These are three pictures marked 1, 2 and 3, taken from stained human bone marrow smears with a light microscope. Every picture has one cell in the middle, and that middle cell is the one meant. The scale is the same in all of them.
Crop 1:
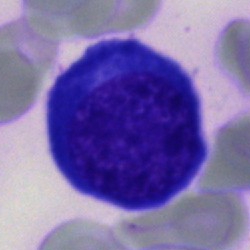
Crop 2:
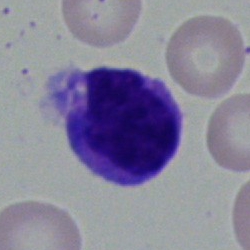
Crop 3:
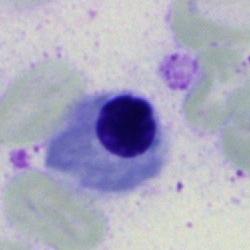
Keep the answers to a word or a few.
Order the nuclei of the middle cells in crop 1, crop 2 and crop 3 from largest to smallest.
1, 2, 3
